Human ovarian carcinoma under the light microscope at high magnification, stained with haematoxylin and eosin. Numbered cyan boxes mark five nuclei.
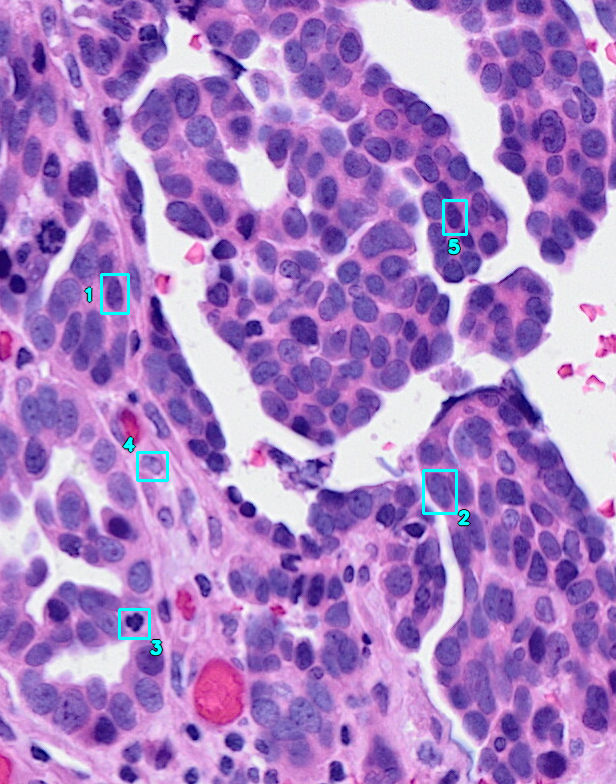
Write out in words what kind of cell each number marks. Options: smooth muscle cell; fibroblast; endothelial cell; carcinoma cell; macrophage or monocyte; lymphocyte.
Cells 1, 2 and 5 are carcinoma cells. Cell 3 is a lymphocyte. Cell 4 is a fibroblast.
